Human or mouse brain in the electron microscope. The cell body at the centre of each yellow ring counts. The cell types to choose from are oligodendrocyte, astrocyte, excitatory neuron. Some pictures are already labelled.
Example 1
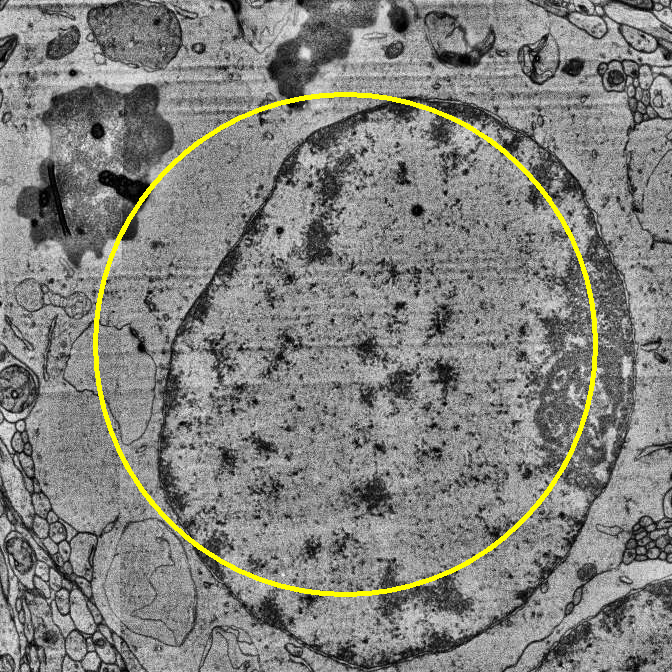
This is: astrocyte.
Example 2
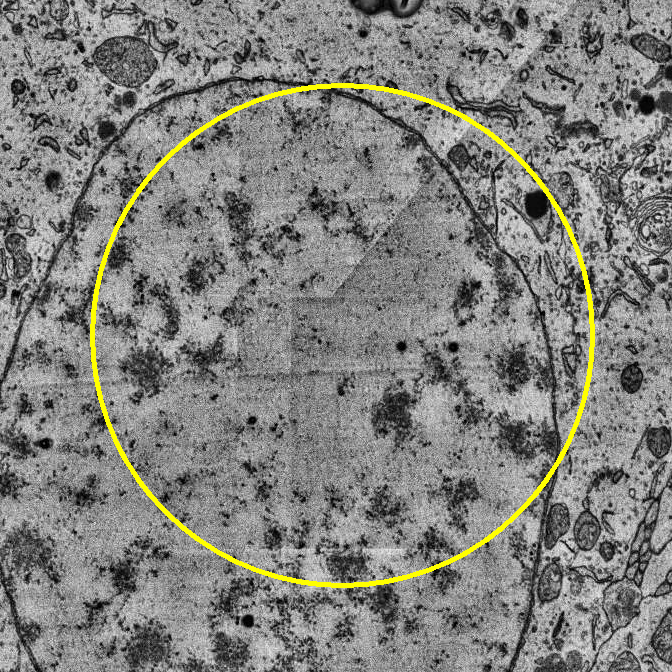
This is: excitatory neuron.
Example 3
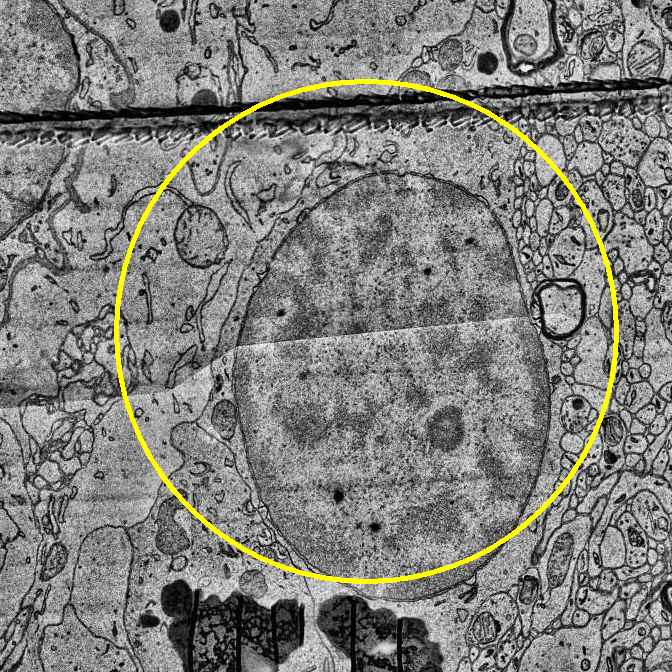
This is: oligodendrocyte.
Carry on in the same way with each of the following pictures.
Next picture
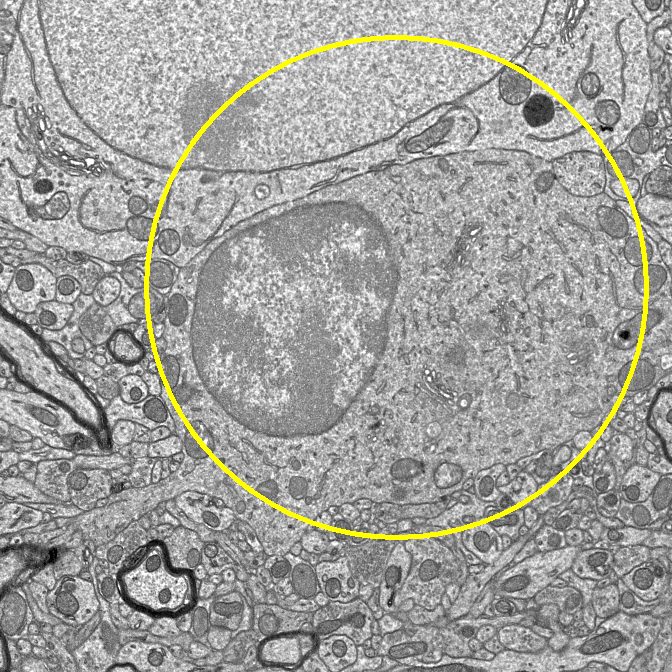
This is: oligodendrocyte.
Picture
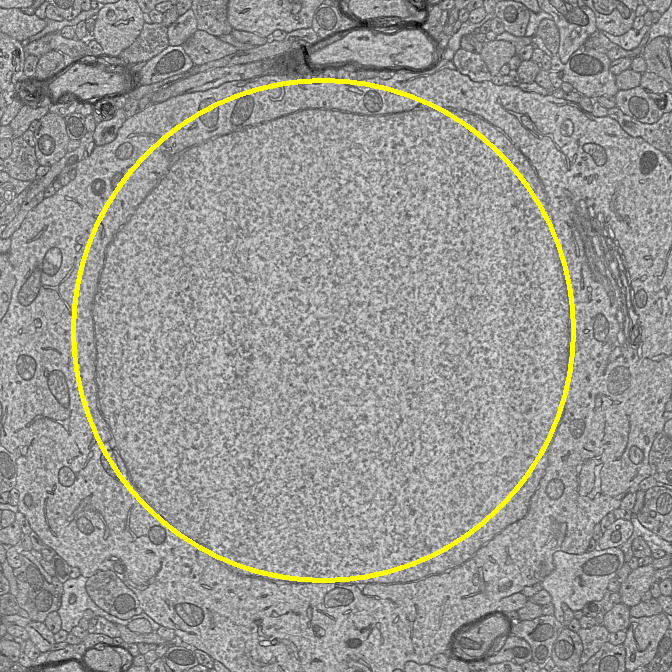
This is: excitatory neuron.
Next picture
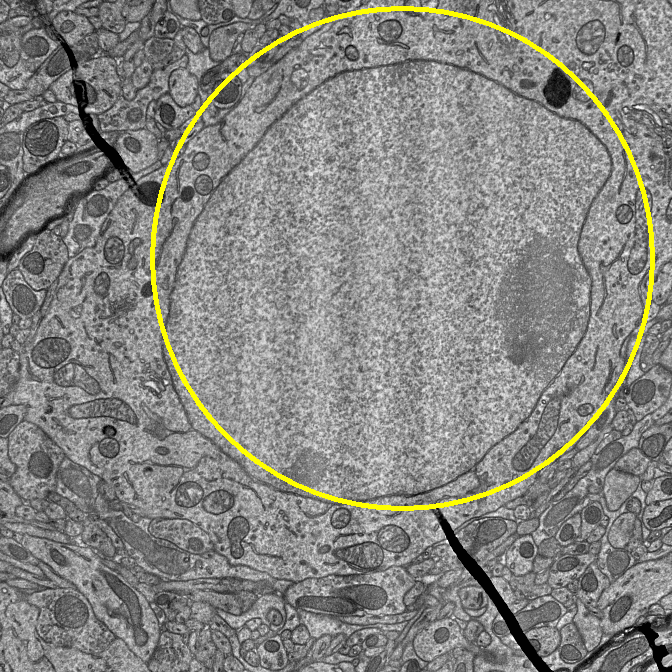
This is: excitatory neuron.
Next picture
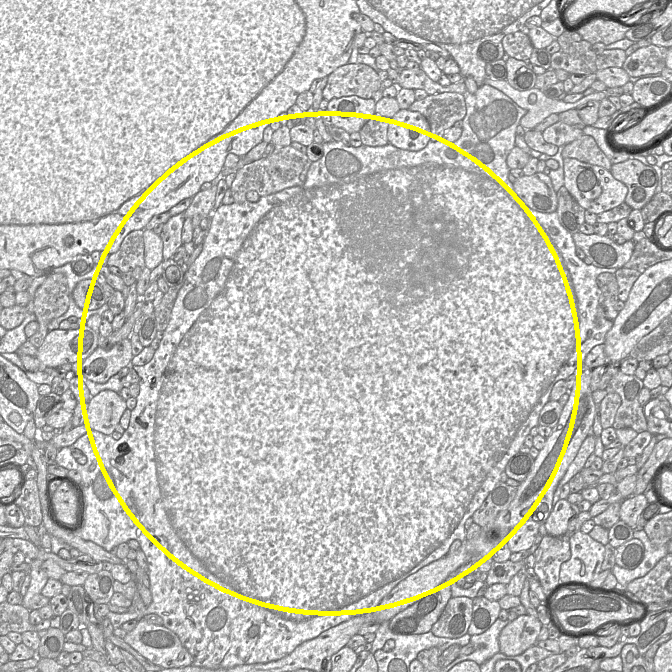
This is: astrocyte.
